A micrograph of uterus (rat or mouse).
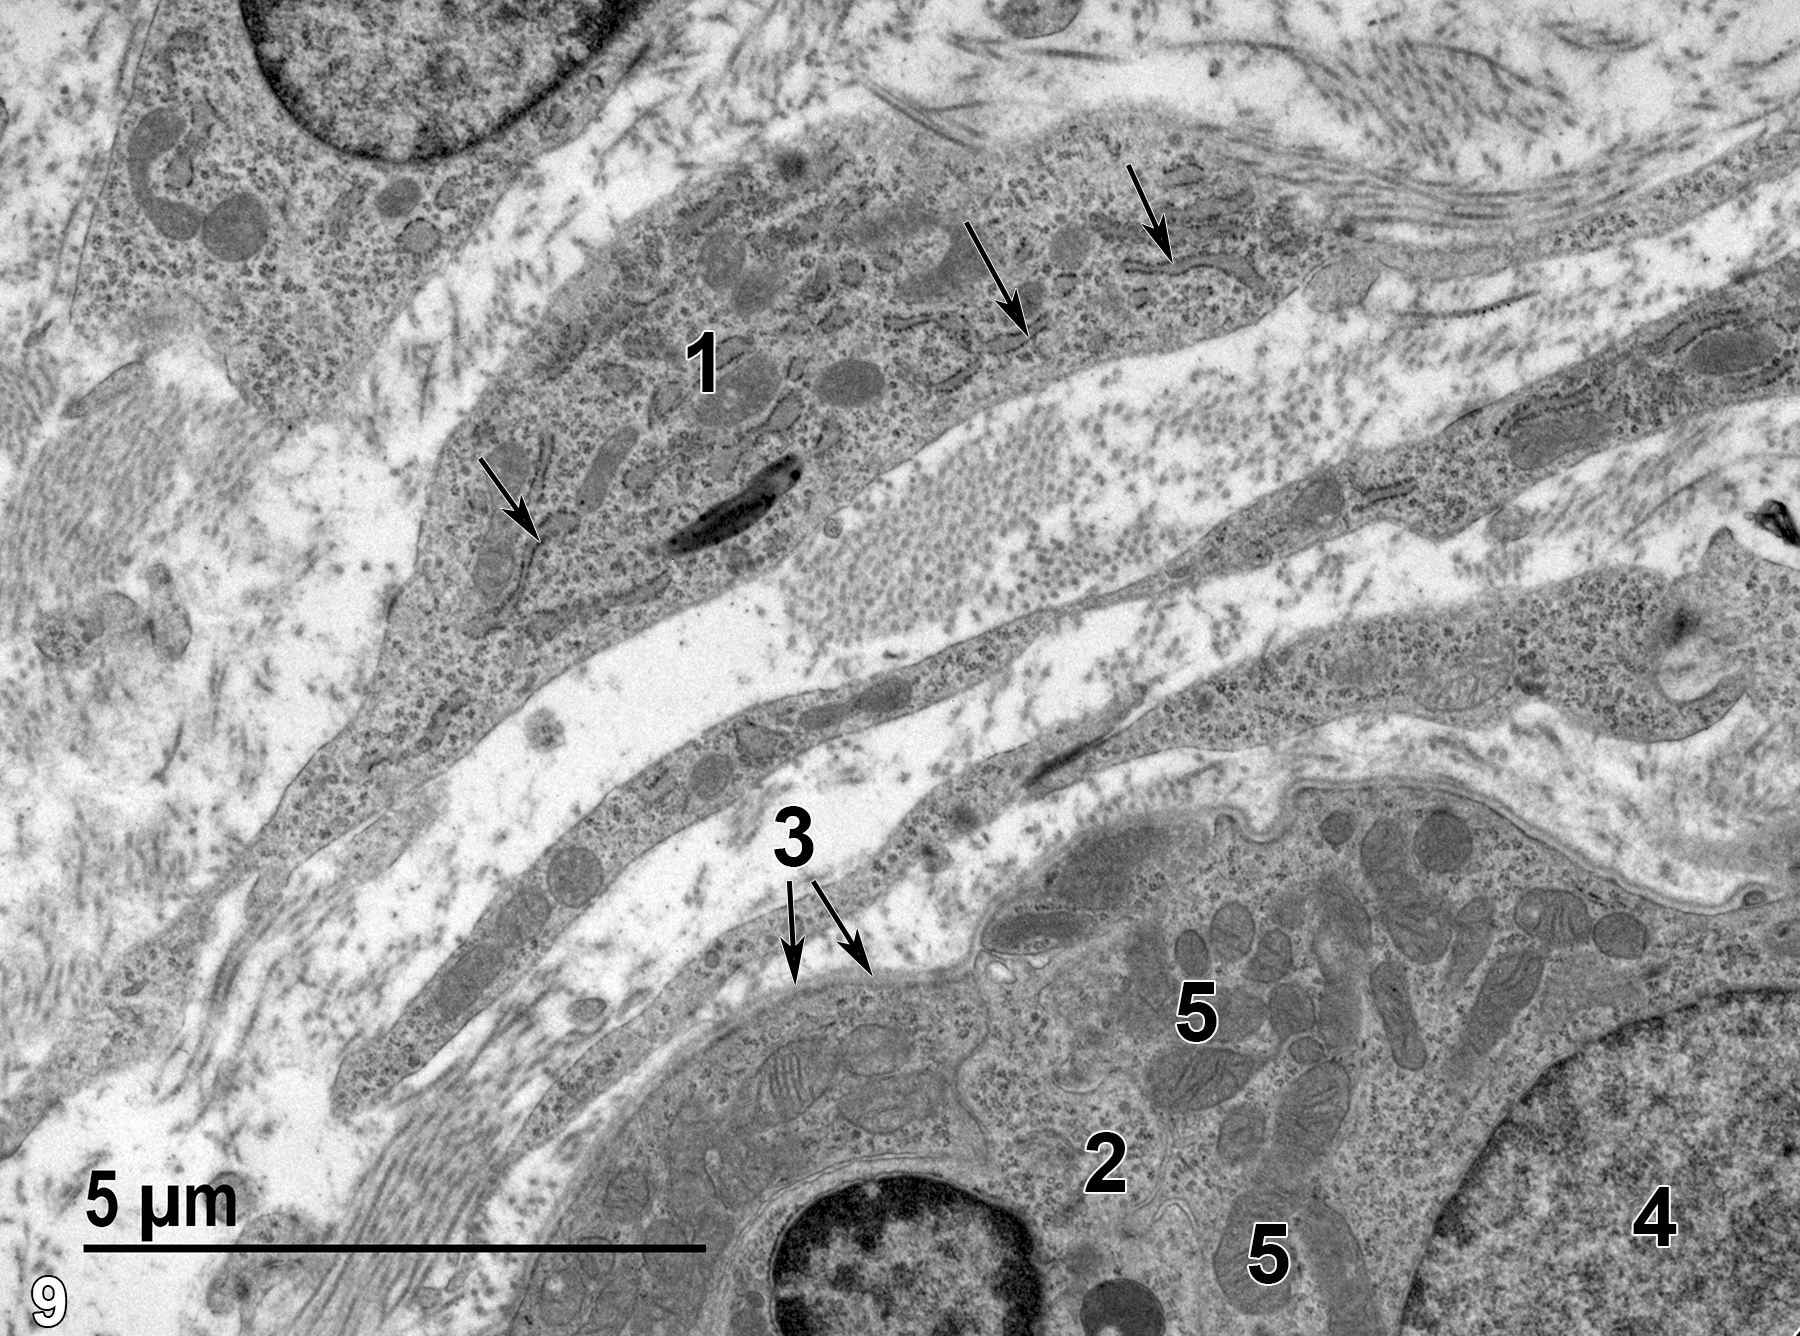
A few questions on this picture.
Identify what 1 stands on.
At 1: fibroblasts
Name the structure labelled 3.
At 3: basal lamina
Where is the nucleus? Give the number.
Number 4.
